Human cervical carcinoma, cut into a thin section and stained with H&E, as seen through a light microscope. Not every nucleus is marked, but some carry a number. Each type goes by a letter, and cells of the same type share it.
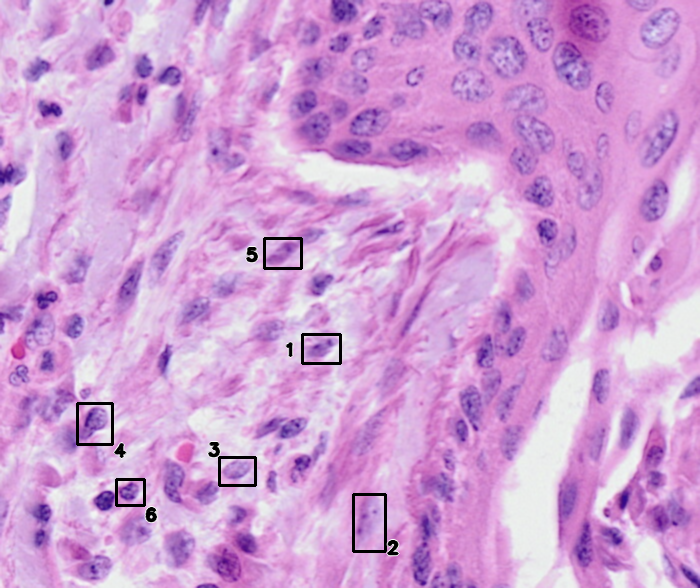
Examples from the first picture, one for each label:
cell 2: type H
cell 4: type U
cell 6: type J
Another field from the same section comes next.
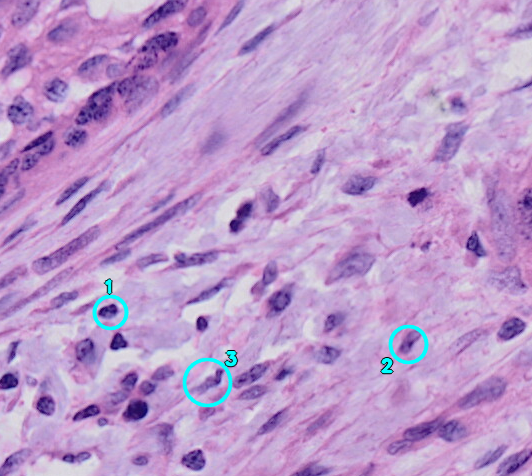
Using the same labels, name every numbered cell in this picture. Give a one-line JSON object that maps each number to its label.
{"1": "type J", "2": "type U", "3": "type H"}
